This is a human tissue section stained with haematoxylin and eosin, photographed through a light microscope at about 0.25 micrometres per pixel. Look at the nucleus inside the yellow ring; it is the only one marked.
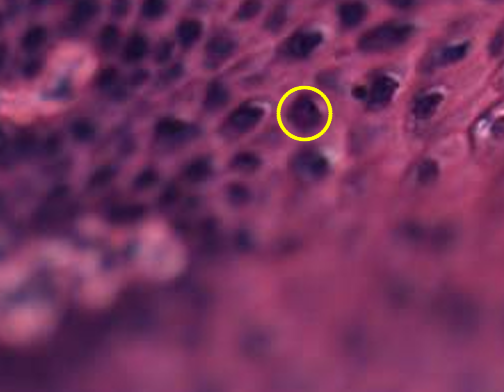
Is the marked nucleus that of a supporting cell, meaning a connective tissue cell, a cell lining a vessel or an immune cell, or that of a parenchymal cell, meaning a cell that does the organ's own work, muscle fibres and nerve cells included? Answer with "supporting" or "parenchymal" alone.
parenchymal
